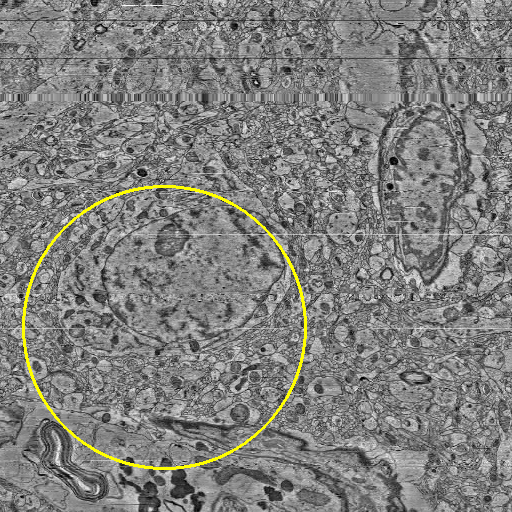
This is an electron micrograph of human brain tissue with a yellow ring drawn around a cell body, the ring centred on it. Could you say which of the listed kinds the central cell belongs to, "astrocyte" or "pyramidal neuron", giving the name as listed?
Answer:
pyramidal neuron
